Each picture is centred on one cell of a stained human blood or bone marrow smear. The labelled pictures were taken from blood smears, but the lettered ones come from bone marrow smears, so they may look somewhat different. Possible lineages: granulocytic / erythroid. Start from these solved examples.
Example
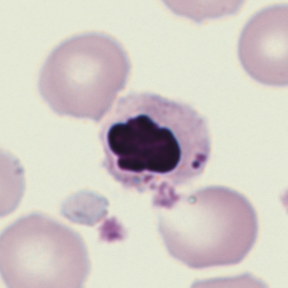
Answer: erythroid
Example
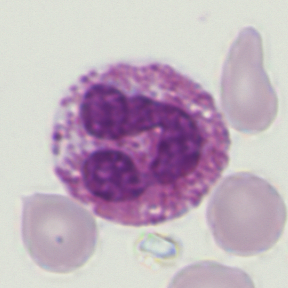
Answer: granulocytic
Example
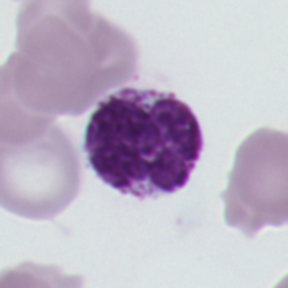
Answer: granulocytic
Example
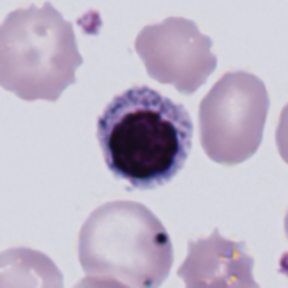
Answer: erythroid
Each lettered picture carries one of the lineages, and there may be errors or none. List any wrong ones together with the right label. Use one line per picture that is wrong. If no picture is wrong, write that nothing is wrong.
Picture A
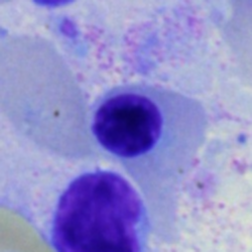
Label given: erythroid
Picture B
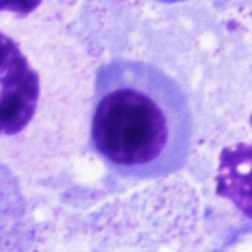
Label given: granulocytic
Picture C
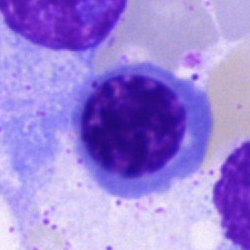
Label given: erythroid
B: erythroid, not granulocytic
